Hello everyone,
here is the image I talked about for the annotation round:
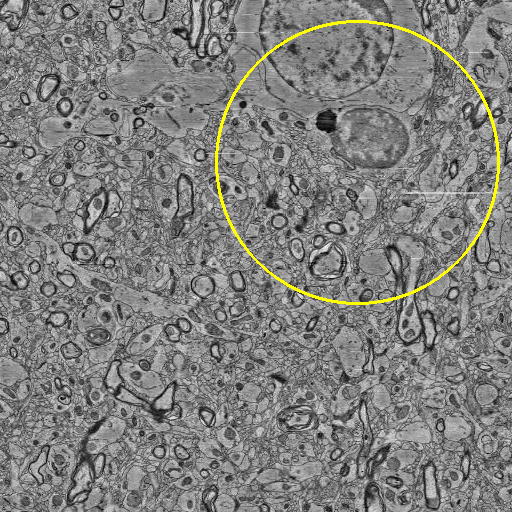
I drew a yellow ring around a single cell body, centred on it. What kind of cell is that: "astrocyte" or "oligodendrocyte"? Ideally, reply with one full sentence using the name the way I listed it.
The cell your yellow ring is centred on is an oligodendrocyte, going by your list.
